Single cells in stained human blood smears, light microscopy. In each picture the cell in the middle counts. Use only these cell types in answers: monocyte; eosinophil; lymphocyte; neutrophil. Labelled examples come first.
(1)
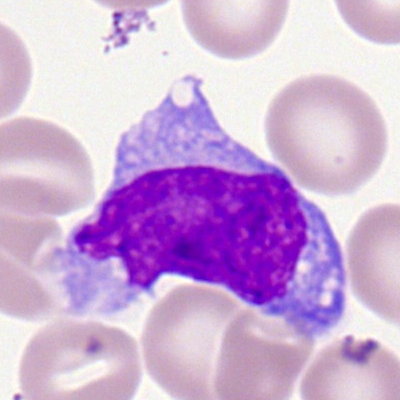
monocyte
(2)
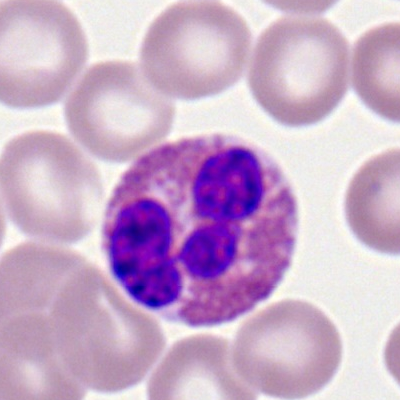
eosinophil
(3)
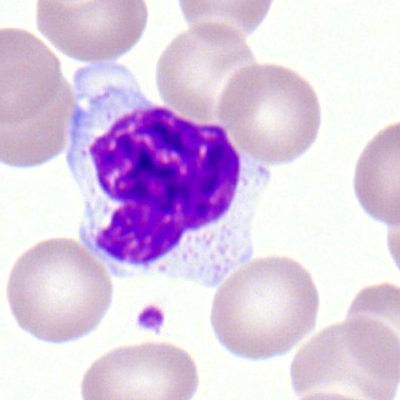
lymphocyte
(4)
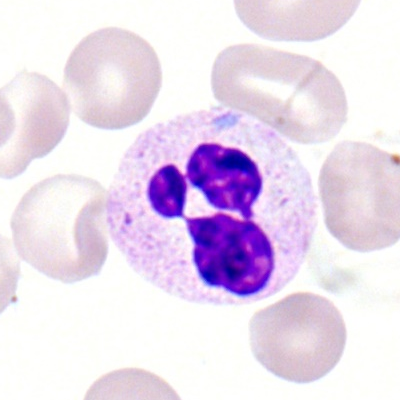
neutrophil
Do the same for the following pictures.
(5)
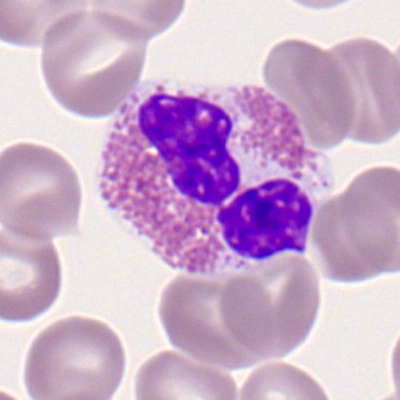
eosinophil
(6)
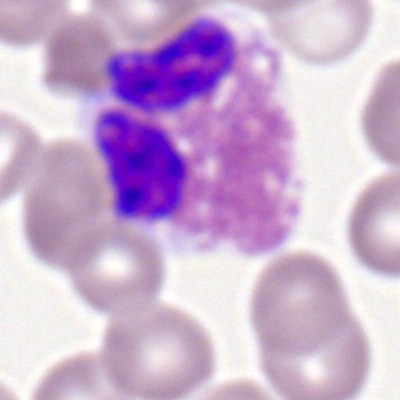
eosinophil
